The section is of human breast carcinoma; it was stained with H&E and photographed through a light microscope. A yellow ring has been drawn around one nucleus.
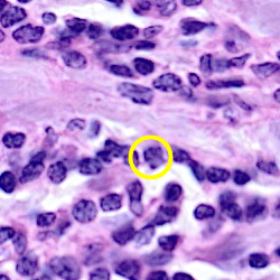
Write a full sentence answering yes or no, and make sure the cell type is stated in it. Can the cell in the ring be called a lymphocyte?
Yes, the cell in the ring corresponds to a lymphocyte in this tissue.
